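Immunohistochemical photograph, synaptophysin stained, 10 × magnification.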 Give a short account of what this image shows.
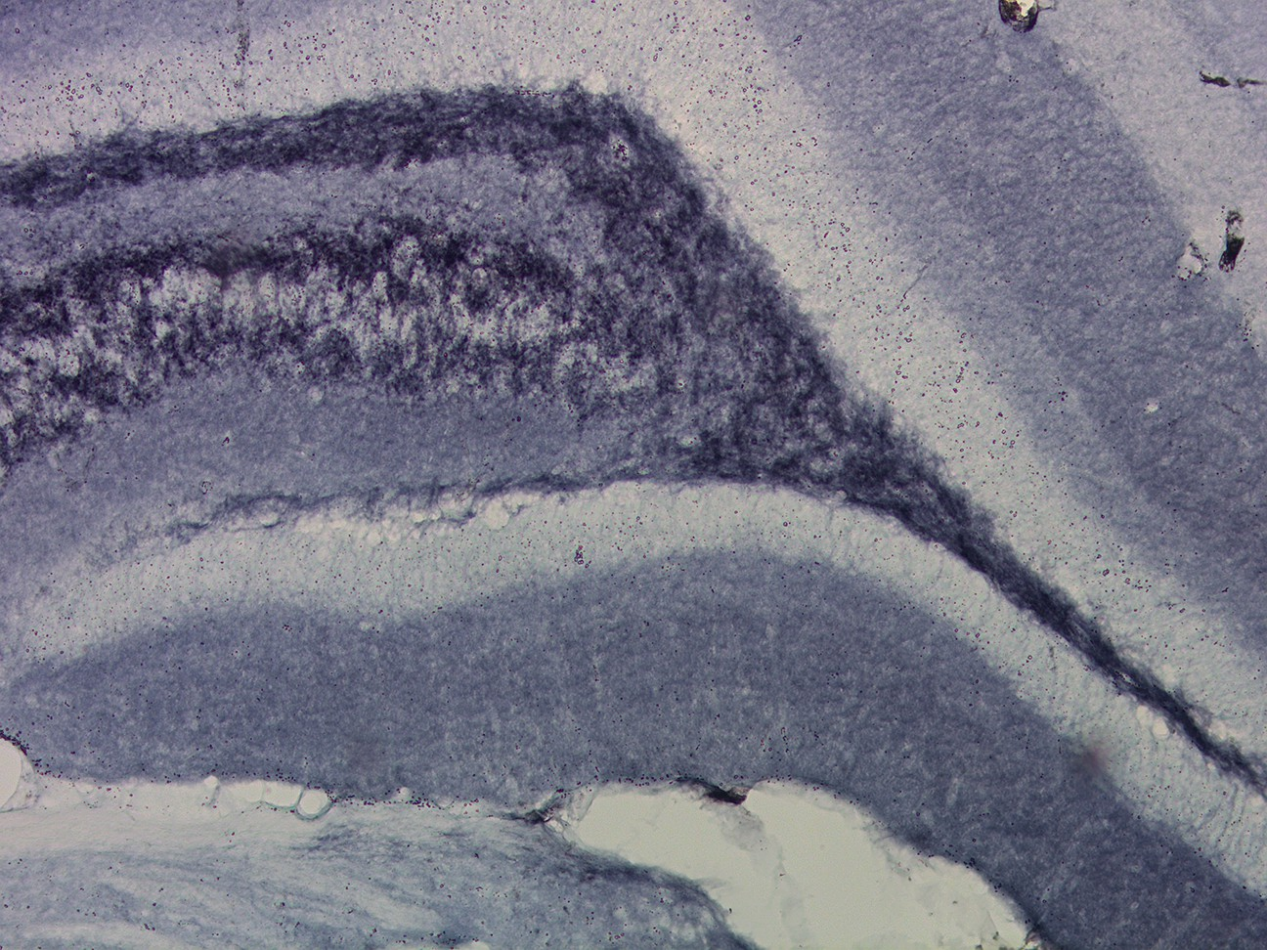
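This is a section of hippocampus in which the stain, a blue-violet colour, sits in the neuropil between cells rather than in the cell bodies. The tissue is laid out in curved, parallel bands: a very dark, coarse-grained band runs across the upper part, bends sharply, and tapers off toward the lower right. Below it, a narrow pale band containing small round unstained holes, where cell bodies lie, separates the dark band from a broad, evenly and more moderately stained layer. The contrast between heavily stained and pale bands shows how unevenly the stained material is spread among the layers.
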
